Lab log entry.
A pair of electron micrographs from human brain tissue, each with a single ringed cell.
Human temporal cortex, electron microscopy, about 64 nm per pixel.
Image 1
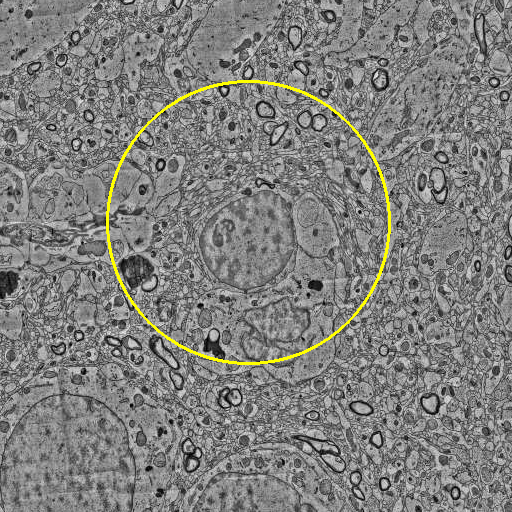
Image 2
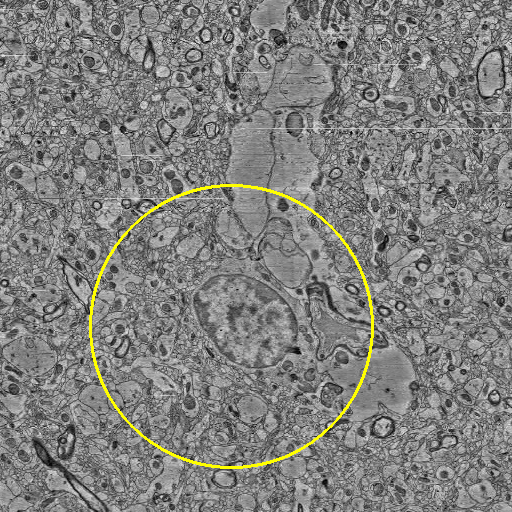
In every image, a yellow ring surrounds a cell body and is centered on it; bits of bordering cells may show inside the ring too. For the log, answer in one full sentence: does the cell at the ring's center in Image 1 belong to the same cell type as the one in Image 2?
Yes, the cells at the ring centers in Image 1 and Image 2 share one type.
